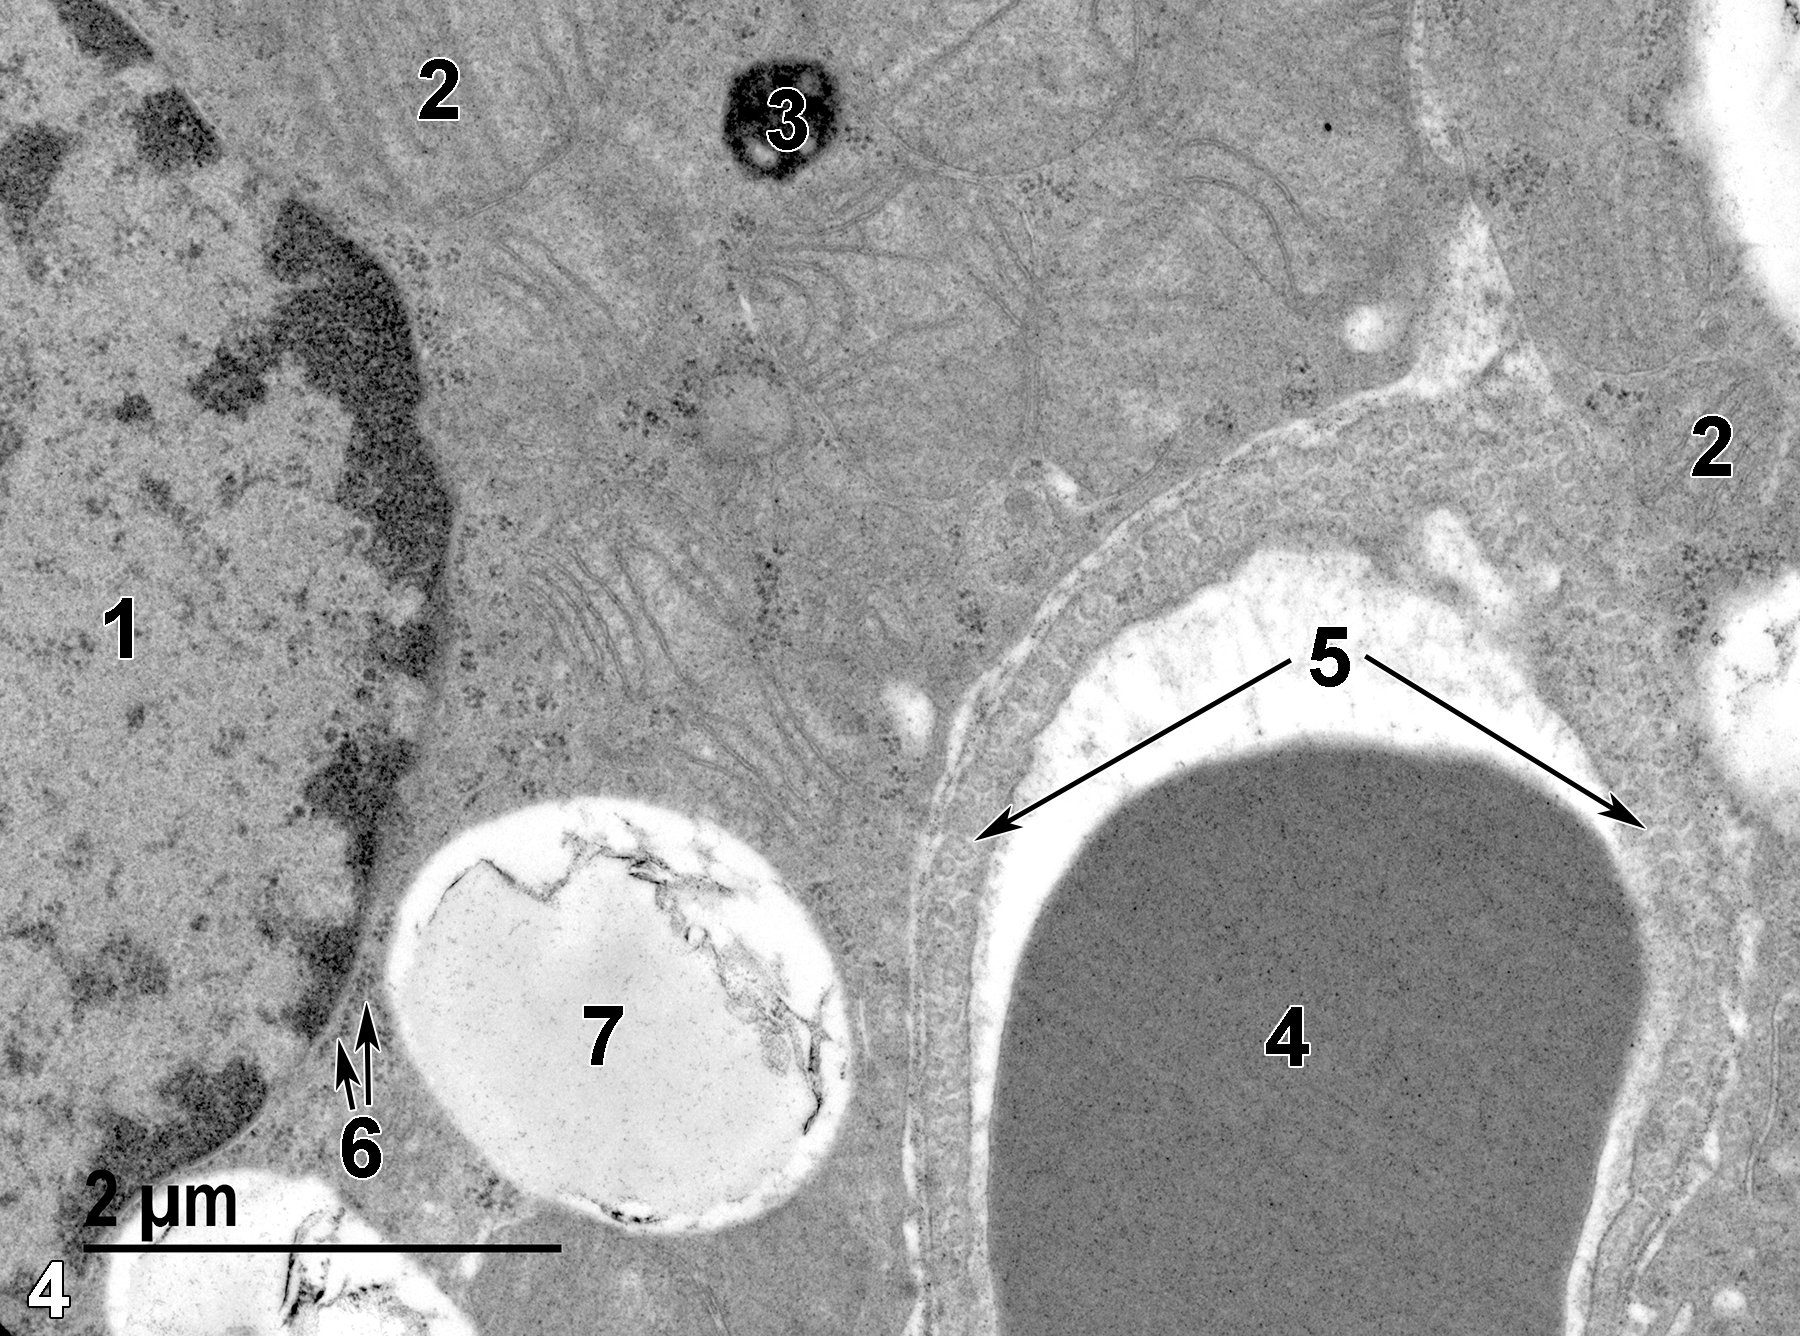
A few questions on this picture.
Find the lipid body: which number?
Number 7.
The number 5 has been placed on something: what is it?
At 5: micro-pinocytotic vesicles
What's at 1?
1 marks the chief cell nucleus.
